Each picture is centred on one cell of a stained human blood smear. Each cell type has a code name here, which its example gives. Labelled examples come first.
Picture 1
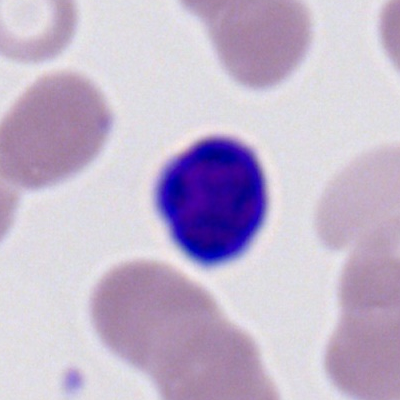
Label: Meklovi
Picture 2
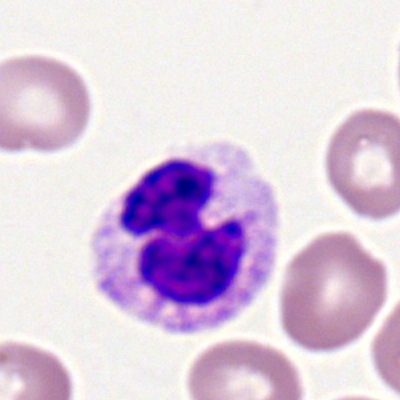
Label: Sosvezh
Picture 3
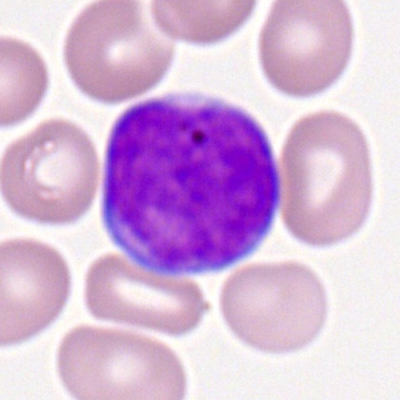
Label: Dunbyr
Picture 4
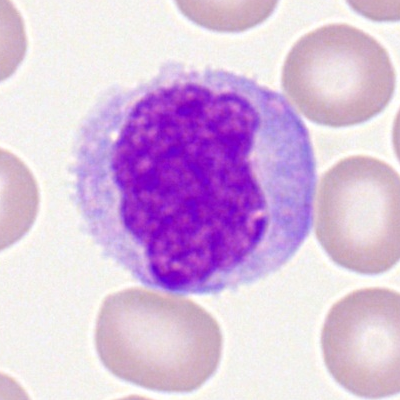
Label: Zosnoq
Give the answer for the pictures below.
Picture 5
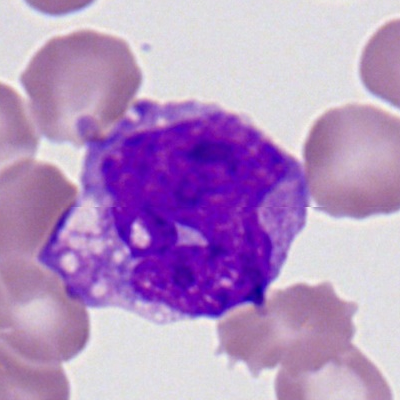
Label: Zosnoq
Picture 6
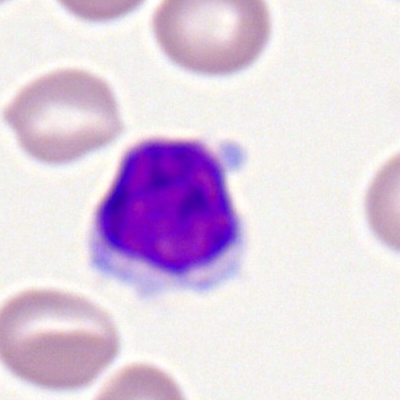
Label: Meklovi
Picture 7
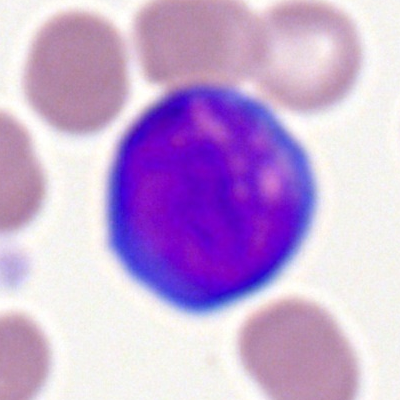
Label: Dunbyr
